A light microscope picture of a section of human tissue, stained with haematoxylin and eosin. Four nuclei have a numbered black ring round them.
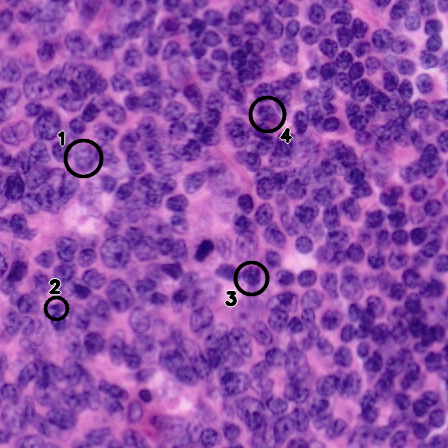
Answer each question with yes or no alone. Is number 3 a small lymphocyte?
no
